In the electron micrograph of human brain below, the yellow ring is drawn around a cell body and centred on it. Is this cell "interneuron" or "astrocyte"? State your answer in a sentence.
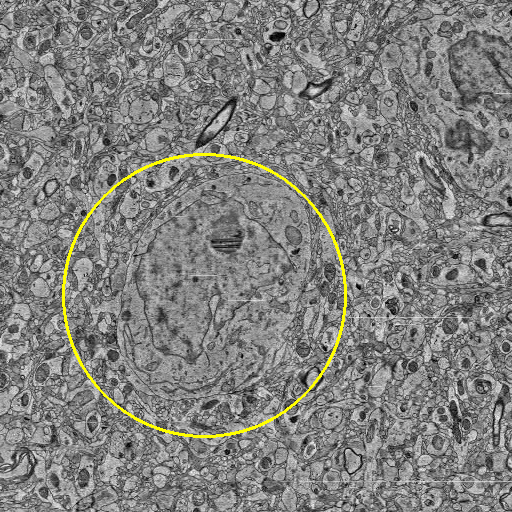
The cell in the middle of the ring is an interneuron.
